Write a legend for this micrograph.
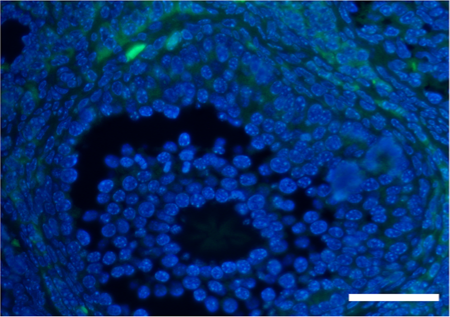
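Small irregular dark cavities open among the inner cells, the first fluid spaces of an antrum. Around the outside, the layers of nuclei become flatter and more elongated where the follicle meets the surrounding tissue.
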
